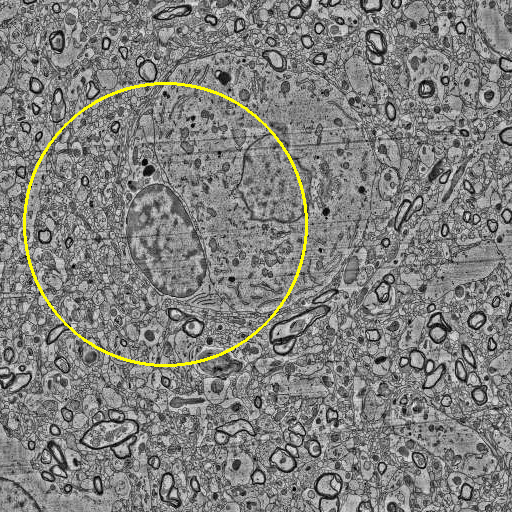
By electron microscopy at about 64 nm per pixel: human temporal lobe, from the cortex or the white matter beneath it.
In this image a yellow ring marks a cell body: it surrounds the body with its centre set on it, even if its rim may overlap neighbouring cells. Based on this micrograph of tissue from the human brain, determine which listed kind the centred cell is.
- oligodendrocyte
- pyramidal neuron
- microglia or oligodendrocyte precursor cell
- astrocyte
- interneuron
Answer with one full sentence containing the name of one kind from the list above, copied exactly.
It is a microglial cell or oligodendrocyte precursor cell whose body the yellow ring encloses at its centre.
